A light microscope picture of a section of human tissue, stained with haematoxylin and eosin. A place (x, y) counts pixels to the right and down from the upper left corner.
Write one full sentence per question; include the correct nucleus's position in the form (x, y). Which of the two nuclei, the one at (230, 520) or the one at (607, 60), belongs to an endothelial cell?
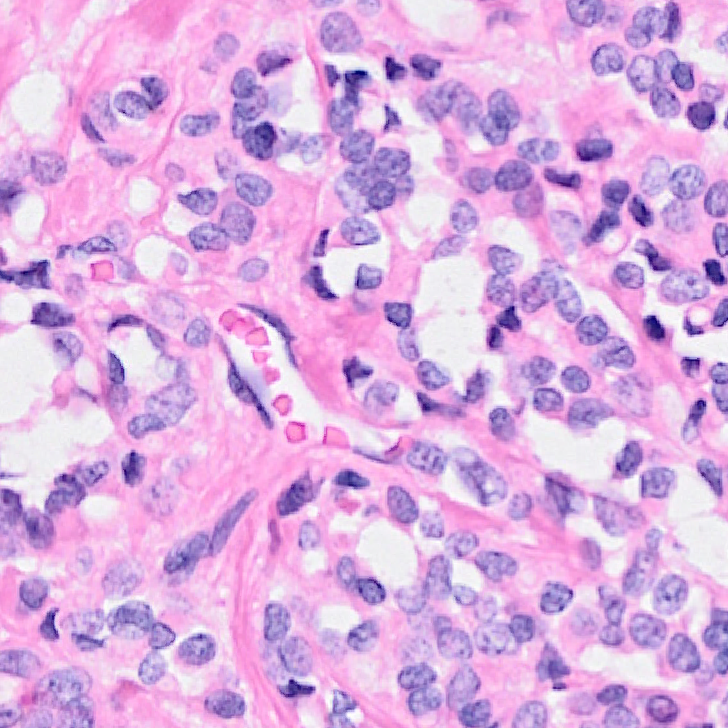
It is the nucleus at (230, 520), not the other one, that belongs to an endothelial cell.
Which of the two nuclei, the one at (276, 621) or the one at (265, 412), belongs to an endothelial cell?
At (265, 412) lies the nucleus that belongs to an endothelial cell.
